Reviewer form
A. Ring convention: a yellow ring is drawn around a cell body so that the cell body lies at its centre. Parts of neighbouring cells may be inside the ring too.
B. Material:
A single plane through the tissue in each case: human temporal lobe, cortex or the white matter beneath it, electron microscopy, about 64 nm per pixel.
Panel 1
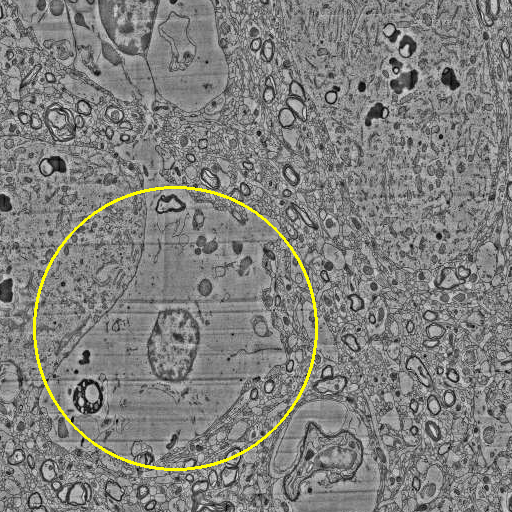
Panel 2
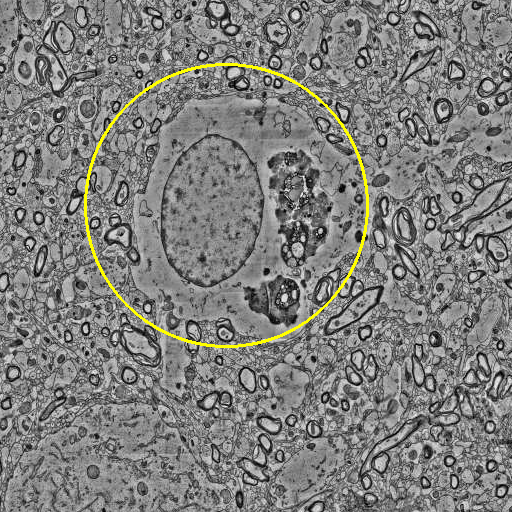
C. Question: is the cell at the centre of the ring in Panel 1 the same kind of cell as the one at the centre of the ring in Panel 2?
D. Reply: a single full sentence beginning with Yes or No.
Yes, the cells in Panel 1 and Panel 2 are the same kind of cell.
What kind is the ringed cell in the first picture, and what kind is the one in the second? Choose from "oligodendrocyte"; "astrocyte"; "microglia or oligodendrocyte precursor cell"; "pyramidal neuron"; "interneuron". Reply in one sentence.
Both pictures show an astrocyte at the centre of the ring.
